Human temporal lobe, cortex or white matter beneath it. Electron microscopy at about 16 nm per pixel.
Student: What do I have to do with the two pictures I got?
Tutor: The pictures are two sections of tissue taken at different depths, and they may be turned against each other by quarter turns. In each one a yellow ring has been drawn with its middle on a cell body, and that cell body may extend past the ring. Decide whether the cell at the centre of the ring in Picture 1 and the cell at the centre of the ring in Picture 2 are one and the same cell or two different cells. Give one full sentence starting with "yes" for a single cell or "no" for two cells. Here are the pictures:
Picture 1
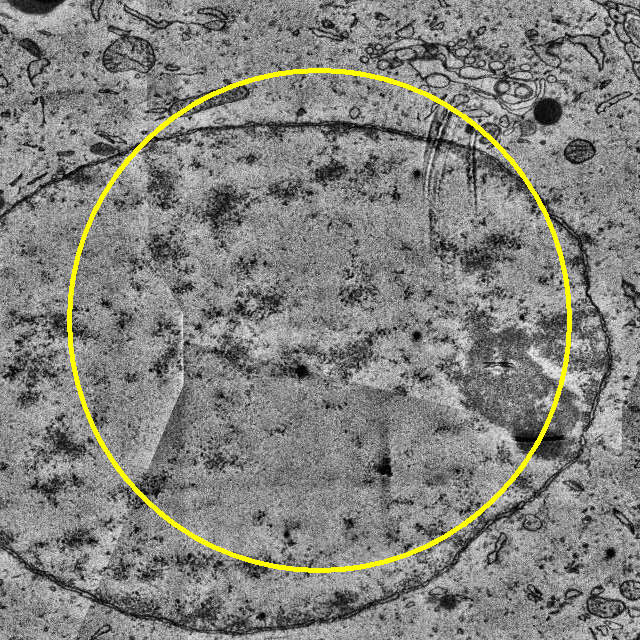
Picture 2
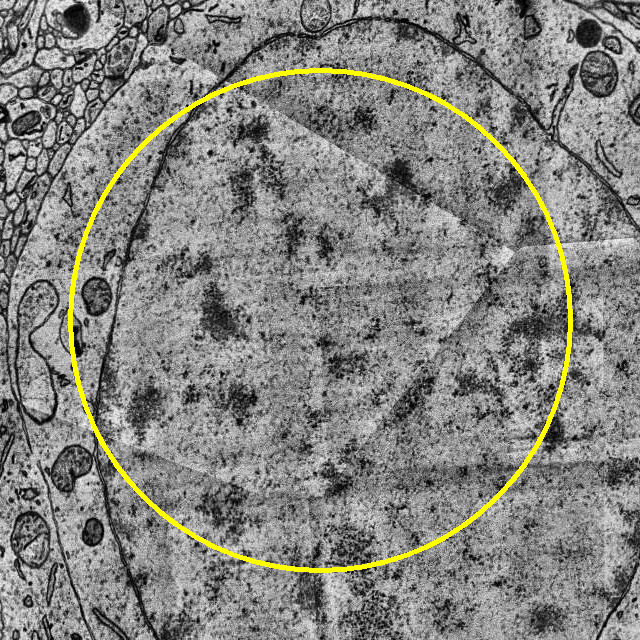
No, it is two different cells that the rings mark.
